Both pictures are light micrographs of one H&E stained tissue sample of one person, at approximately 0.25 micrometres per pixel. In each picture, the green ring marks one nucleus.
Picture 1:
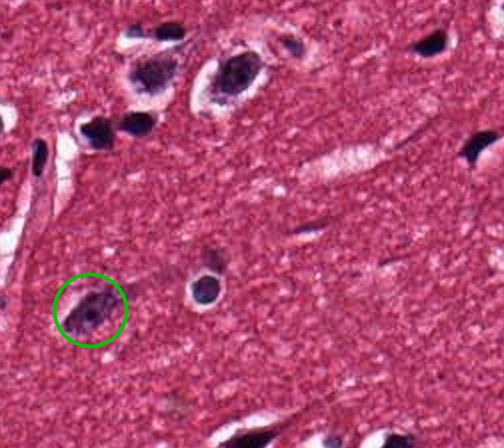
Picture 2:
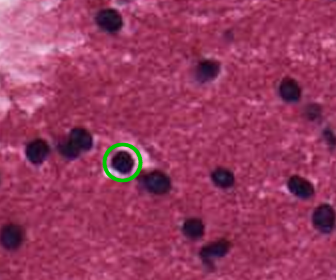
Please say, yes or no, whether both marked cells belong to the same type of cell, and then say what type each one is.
No, the first is a neuron and the second an oligodendrocyte.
